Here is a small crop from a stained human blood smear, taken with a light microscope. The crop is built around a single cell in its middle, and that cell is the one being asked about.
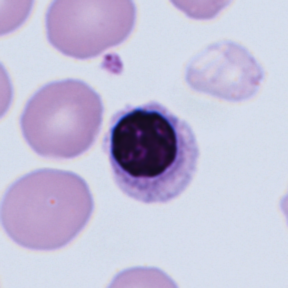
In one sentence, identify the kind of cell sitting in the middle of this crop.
The cell in the middle of this crop is an erythroblast.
